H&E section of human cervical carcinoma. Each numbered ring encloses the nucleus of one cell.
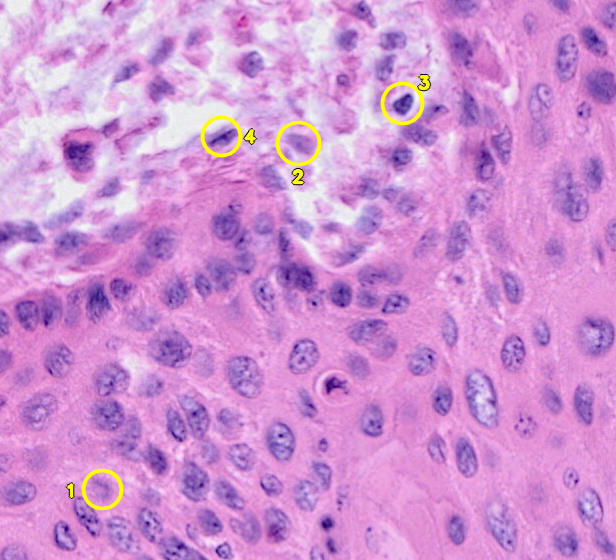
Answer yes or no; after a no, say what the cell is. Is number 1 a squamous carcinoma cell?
Yes.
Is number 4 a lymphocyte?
No, it is a fibroblast.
